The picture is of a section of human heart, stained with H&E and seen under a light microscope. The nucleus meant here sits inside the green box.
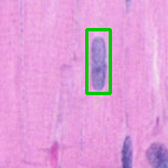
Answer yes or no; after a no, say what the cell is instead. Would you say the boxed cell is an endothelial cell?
No, it is a cardiomyocyte.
